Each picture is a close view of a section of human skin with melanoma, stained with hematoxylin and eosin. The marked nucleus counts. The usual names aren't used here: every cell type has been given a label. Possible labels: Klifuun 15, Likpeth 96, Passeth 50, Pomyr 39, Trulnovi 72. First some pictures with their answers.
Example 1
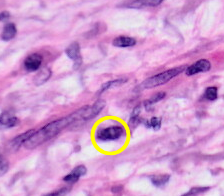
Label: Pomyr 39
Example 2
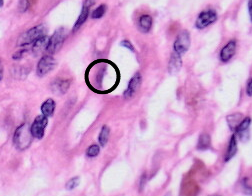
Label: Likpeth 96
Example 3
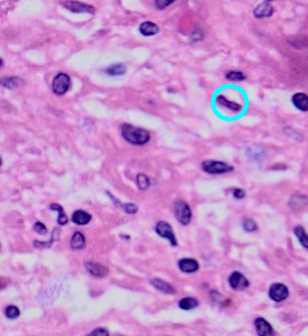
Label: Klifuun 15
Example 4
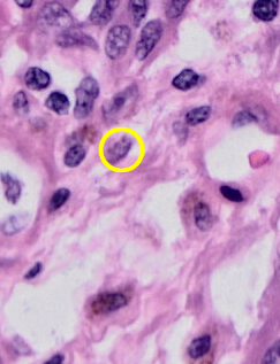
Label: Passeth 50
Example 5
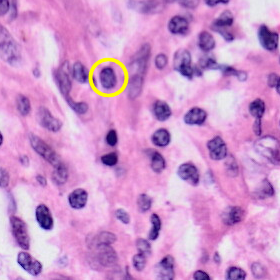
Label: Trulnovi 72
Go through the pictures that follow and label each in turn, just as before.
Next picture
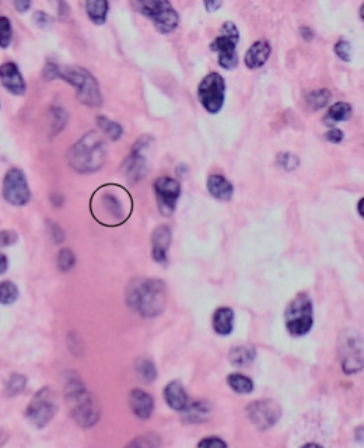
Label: Likpeth 96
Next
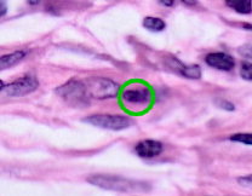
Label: Likpeth 96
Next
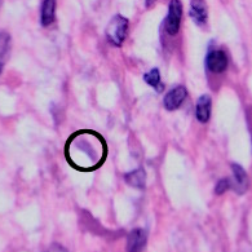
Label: Klifuun 15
